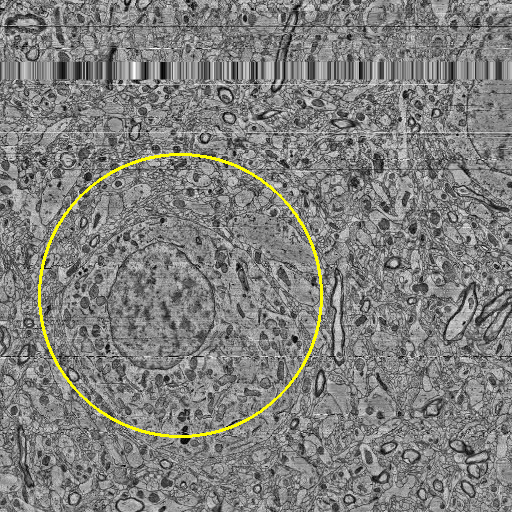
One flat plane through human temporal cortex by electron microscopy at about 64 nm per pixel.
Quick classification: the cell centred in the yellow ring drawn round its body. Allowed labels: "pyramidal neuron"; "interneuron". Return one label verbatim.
interneuron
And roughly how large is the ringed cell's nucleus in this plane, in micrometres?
In this plane the nucleus is about 8 micrometres by 7.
